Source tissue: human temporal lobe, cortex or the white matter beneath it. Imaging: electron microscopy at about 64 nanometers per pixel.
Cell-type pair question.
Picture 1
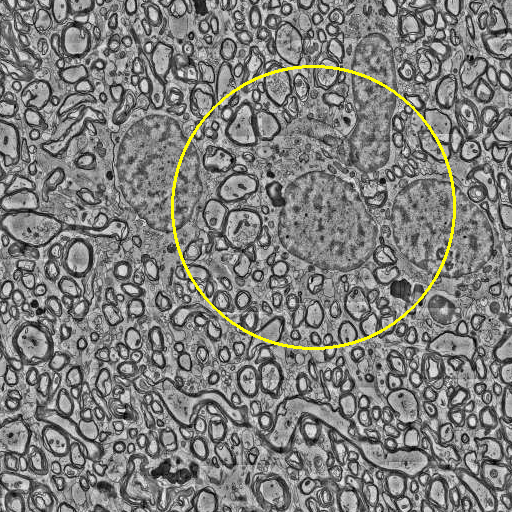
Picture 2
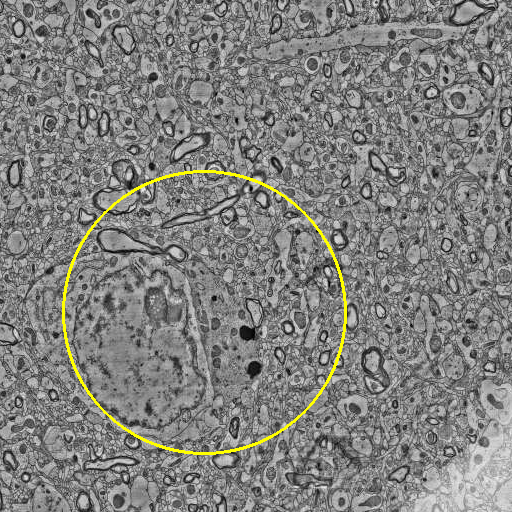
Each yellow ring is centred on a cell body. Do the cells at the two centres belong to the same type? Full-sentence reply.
Yes, the two cells belong to the same type.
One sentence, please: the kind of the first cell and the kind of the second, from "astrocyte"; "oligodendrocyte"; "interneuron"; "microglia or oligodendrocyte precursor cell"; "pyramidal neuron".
Both cells are the same kind, each one being an oligodendrocyte.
